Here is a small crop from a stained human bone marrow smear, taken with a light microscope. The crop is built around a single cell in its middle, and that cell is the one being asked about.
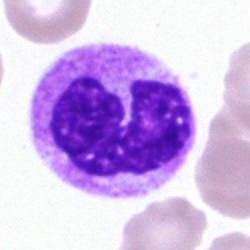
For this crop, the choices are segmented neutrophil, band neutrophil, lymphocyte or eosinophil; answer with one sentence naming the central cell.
The crop centres on a single cell, and that cell is a band neutrophil.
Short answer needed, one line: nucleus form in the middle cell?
The nucleus holds together as a single compact mass, round, oval or kidney-like.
